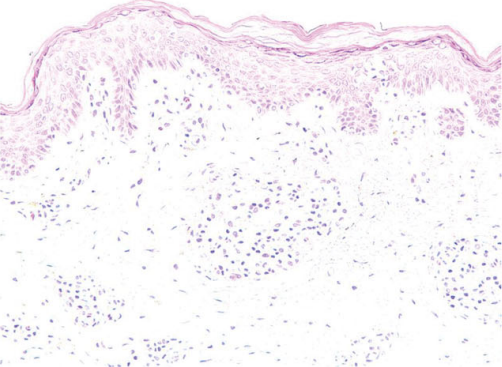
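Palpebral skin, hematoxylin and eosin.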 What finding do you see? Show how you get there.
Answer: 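Clusters of small round dark purple nuclei lie in the dermis below the epidermis. The clustered cells have scant cytoplasm. The clusters gather around small vessel spaces in the dermis.
Answer: perivascular lymphocyte infiltration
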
